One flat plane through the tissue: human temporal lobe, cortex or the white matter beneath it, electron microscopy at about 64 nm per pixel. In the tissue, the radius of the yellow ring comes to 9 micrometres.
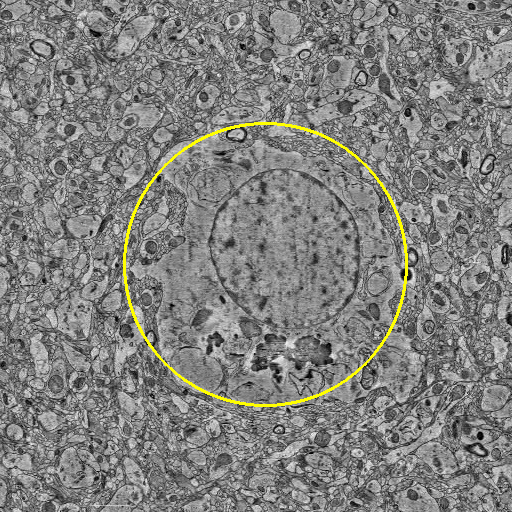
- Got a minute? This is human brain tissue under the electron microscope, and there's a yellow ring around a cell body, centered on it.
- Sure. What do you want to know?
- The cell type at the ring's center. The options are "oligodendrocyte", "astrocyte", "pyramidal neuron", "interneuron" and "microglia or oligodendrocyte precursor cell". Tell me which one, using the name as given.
astrocyte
